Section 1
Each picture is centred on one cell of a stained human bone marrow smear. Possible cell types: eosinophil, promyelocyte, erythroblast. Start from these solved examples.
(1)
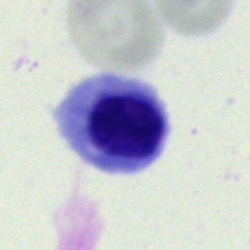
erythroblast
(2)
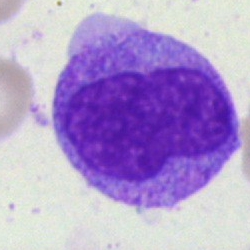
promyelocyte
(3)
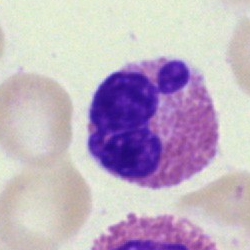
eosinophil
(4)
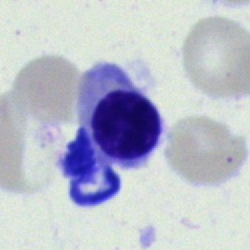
erythroblast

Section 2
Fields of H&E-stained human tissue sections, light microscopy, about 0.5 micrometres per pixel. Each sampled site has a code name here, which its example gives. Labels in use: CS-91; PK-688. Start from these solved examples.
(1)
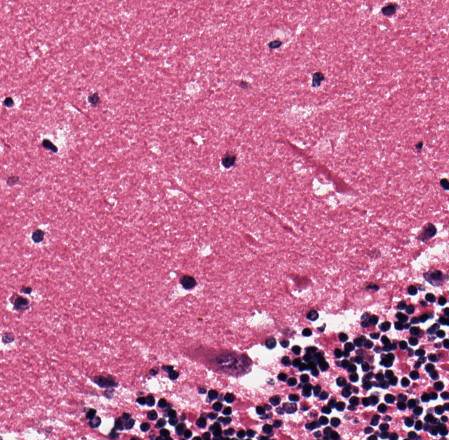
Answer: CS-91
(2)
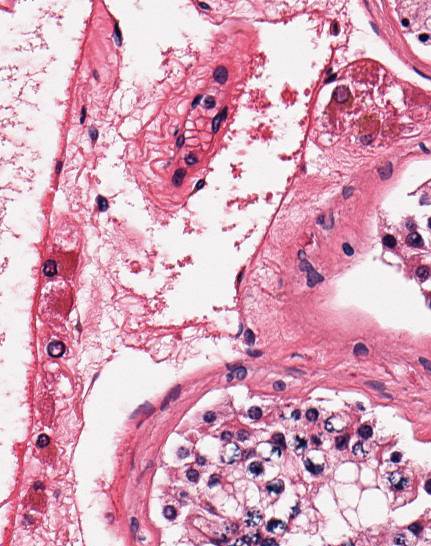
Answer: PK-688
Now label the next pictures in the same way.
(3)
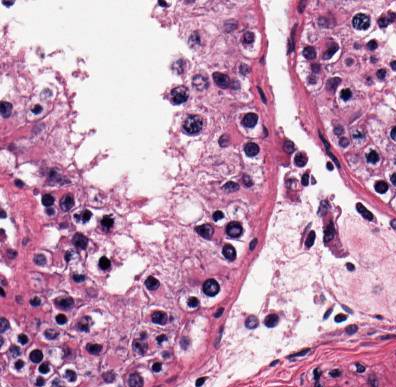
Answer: PK-688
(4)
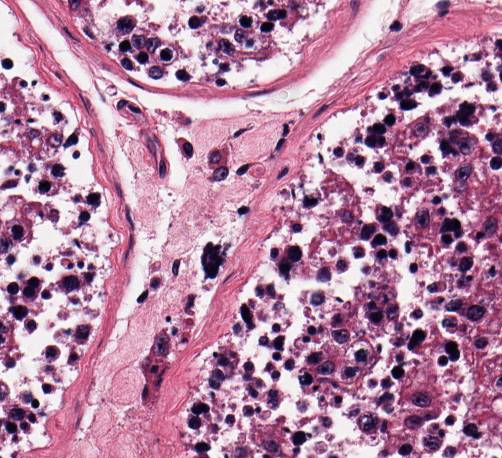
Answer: PK-688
